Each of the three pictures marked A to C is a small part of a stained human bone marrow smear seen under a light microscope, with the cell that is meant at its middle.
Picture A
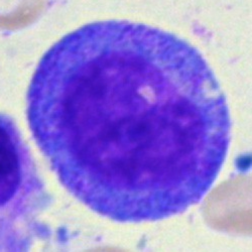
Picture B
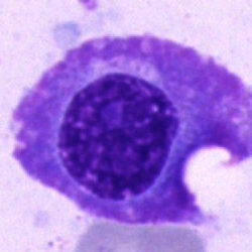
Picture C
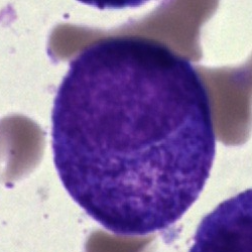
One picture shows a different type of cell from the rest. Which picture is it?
B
